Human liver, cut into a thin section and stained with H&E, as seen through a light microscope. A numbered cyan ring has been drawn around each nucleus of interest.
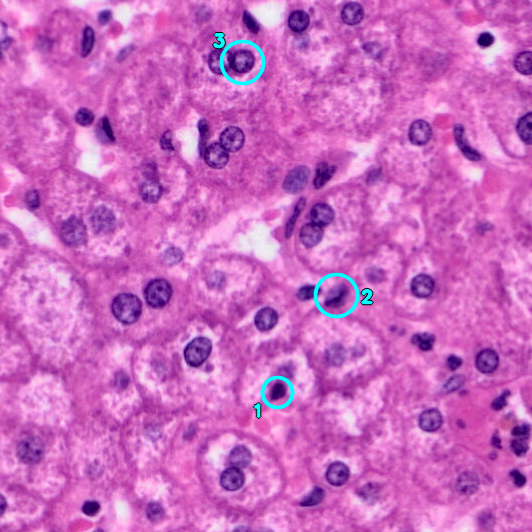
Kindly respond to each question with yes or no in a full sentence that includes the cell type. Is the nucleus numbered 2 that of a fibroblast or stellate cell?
No, the nucleus numbered 2 belongs to an endothelial cell, not a fibroblast or stellate cell.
